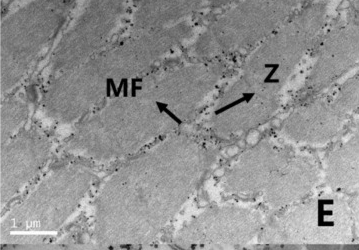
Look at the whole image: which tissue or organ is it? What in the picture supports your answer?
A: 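Small vesicles and dark granules lie between the bundles. That points to this answer: muscle.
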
